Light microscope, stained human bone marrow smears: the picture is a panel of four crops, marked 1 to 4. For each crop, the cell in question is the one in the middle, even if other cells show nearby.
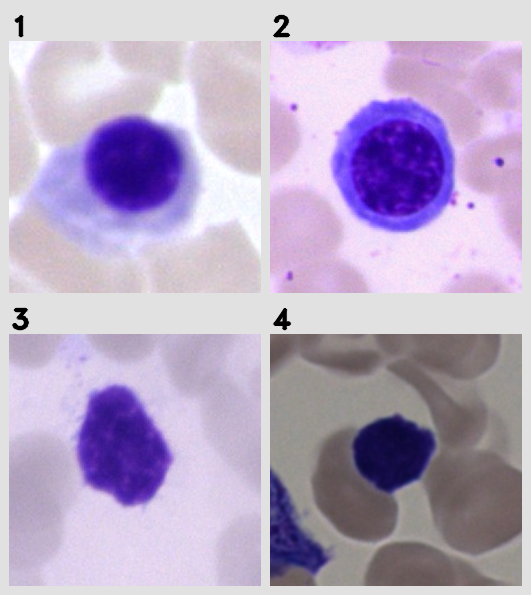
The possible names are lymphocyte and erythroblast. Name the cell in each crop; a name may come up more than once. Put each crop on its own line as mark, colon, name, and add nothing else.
1: erythroblast
2: erythroblast
3: lymphocyte
4: lymphocyte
